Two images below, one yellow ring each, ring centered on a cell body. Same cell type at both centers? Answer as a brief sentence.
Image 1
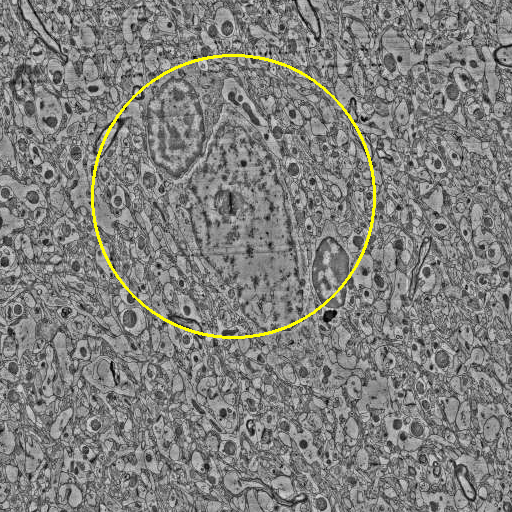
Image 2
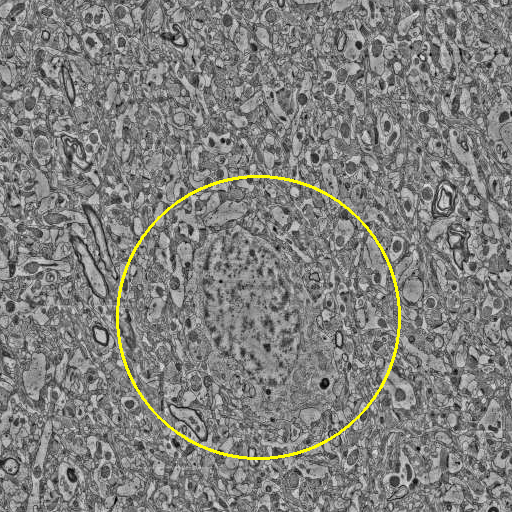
Yes, both cells are of the same type.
